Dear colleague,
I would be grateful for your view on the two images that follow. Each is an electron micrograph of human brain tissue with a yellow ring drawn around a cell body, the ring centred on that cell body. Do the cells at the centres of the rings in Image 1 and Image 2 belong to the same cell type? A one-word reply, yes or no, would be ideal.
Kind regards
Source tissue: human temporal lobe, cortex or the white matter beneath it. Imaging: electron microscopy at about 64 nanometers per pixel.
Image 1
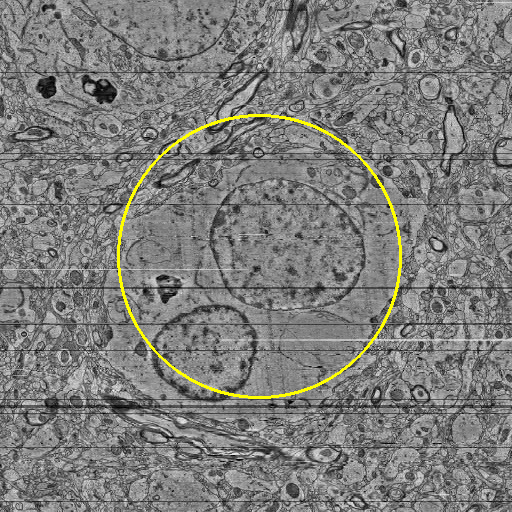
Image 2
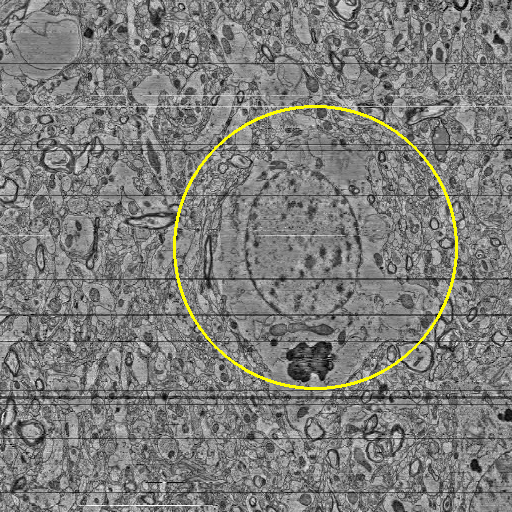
yes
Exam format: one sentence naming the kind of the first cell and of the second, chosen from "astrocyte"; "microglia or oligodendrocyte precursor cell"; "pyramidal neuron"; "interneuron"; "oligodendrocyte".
Both pictures show an astrocyte at the centre of the ring.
